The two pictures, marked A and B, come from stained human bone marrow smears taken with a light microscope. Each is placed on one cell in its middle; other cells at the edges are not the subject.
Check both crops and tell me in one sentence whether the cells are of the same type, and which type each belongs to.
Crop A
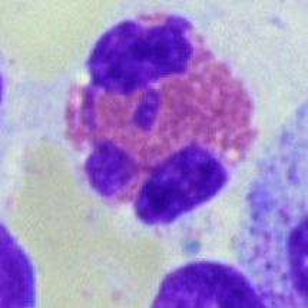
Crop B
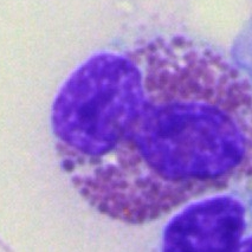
Yes, the middle cells in the two crops are eosinophils.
